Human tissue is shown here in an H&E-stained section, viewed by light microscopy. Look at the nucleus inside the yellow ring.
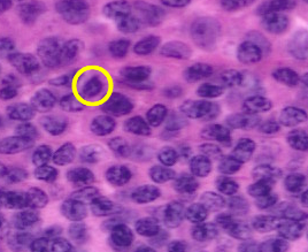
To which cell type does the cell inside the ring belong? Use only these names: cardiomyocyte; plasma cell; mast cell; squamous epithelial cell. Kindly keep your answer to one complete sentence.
In the tissue under study, the cell inside the ring is a plasma cell.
